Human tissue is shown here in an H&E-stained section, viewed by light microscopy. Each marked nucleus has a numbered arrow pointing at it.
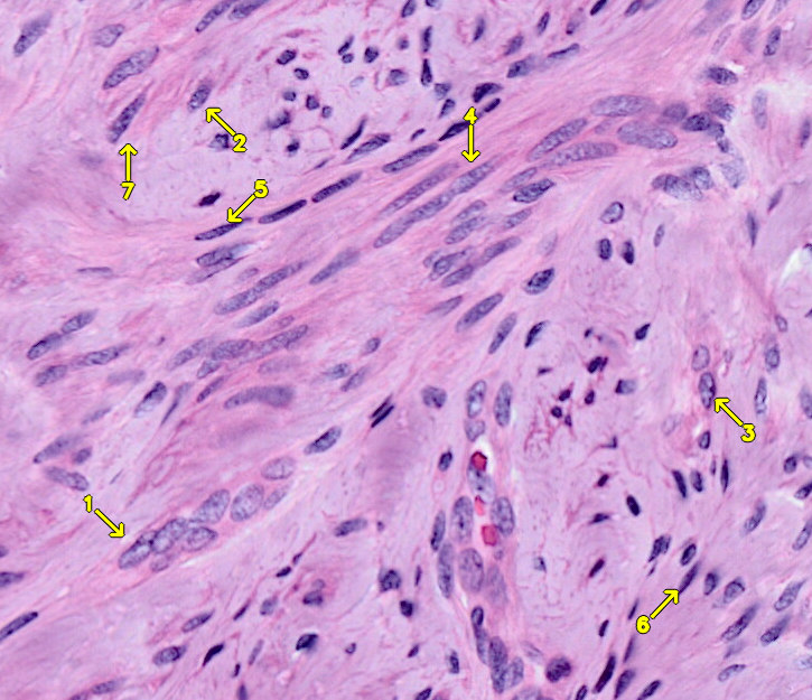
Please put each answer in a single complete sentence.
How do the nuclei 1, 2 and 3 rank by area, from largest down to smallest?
Going from the biggest nucleus down to the smallest gives 1, 3, 2.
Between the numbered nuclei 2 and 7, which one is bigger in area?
The larger nucleus is 7, at roughly 2 times the area of 2.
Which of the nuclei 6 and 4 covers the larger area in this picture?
It is nucleus 4, which covers about 2.5 times the area of nucleus 6.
